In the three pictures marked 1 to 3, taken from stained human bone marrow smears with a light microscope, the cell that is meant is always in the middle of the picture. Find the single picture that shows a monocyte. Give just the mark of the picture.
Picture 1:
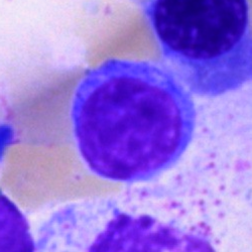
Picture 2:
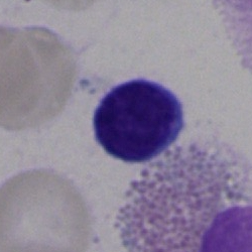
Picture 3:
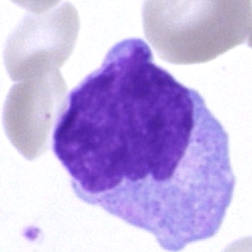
3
